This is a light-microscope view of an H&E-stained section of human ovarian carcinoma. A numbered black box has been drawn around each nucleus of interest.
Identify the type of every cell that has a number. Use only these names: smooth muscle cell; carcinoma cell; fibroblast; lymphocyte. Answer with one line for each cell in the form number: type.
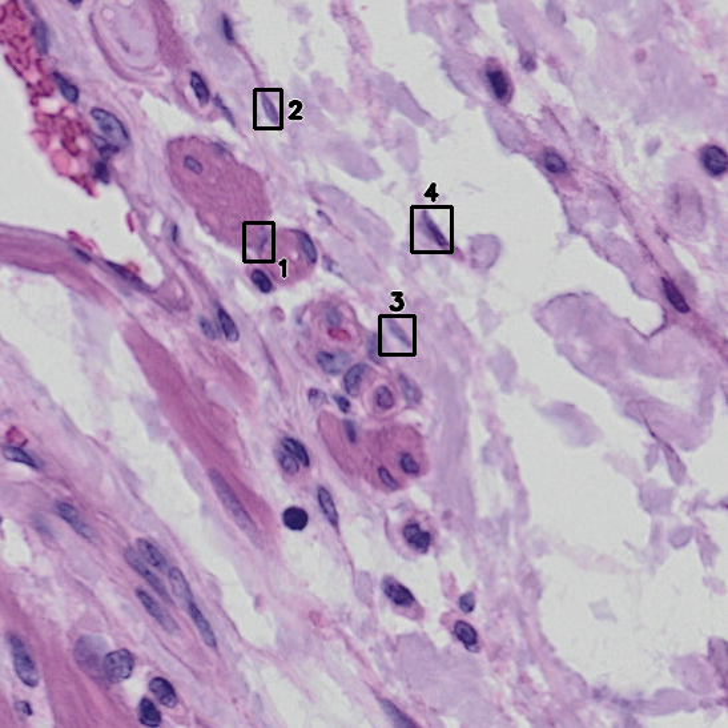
1: smooth muscle cell
2: fibroblast
3: fibroblast
4: fibroblast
